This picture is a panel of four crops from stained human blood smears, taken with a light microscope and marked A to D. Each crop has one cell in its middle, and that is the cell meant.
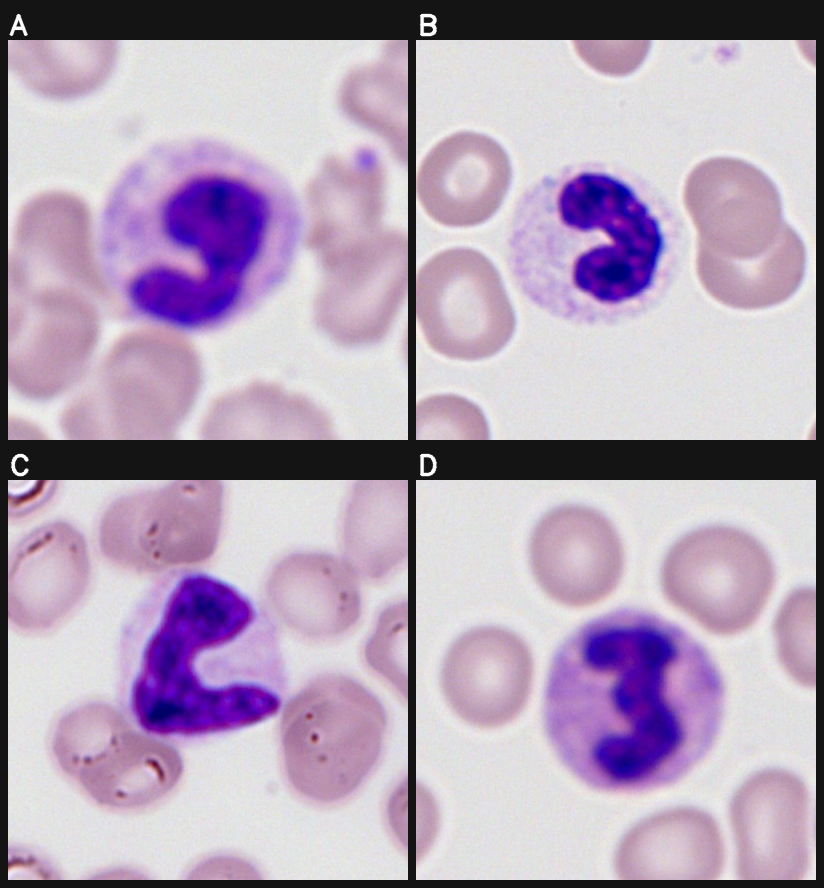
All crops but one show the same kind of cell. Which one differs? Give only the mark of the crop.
D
